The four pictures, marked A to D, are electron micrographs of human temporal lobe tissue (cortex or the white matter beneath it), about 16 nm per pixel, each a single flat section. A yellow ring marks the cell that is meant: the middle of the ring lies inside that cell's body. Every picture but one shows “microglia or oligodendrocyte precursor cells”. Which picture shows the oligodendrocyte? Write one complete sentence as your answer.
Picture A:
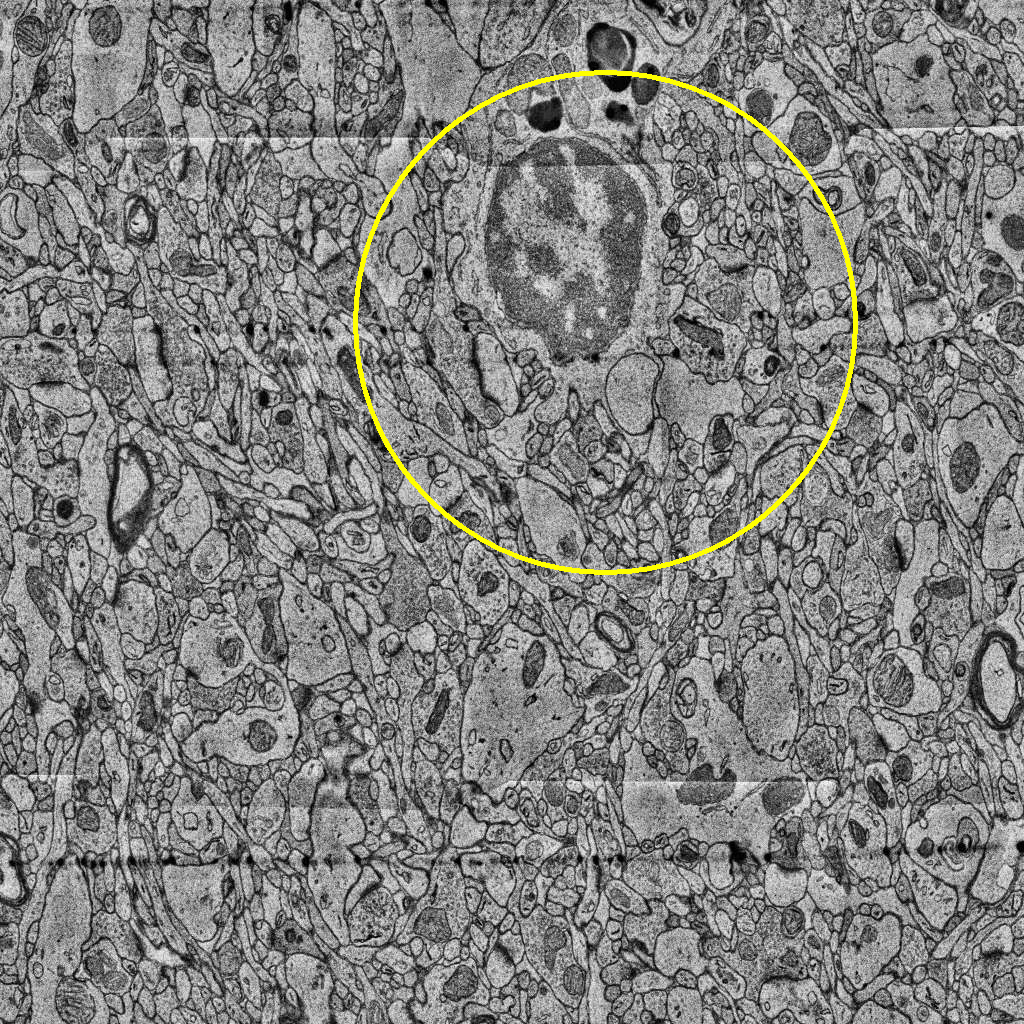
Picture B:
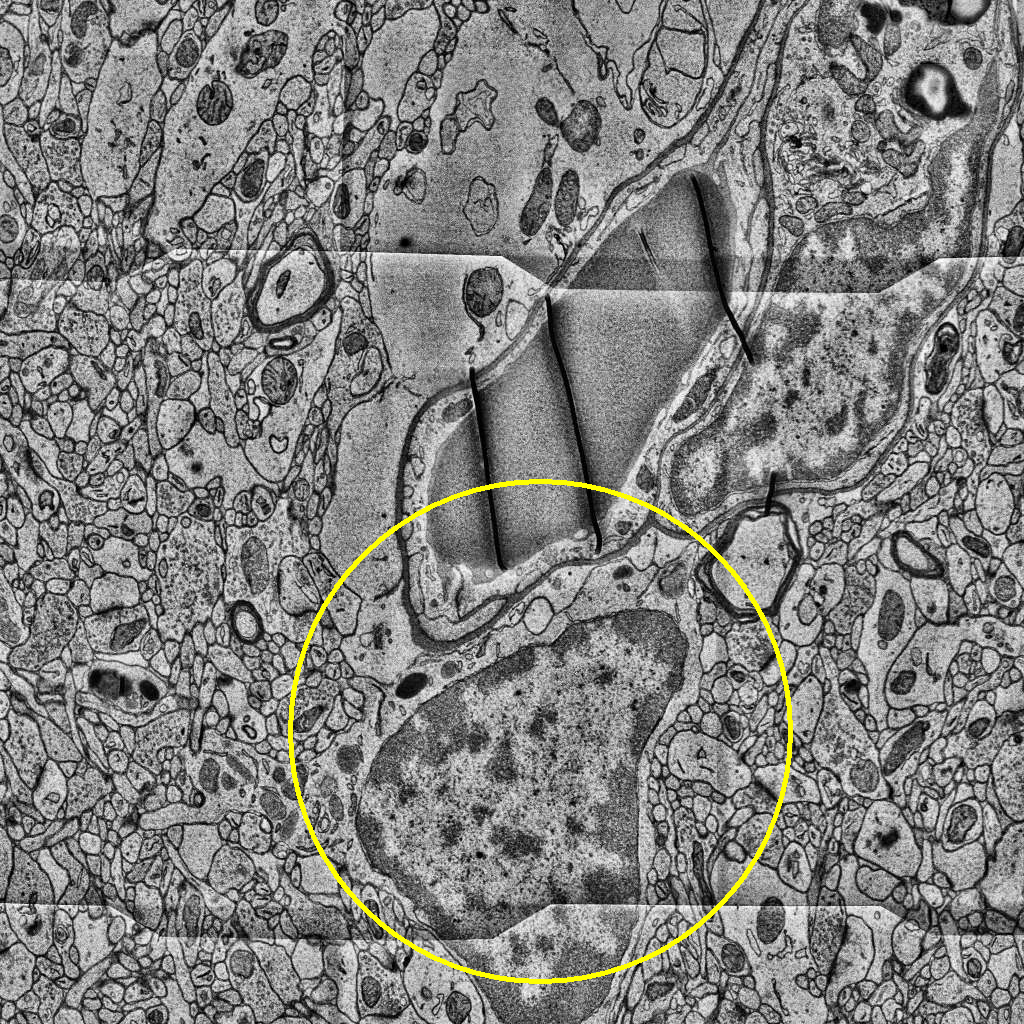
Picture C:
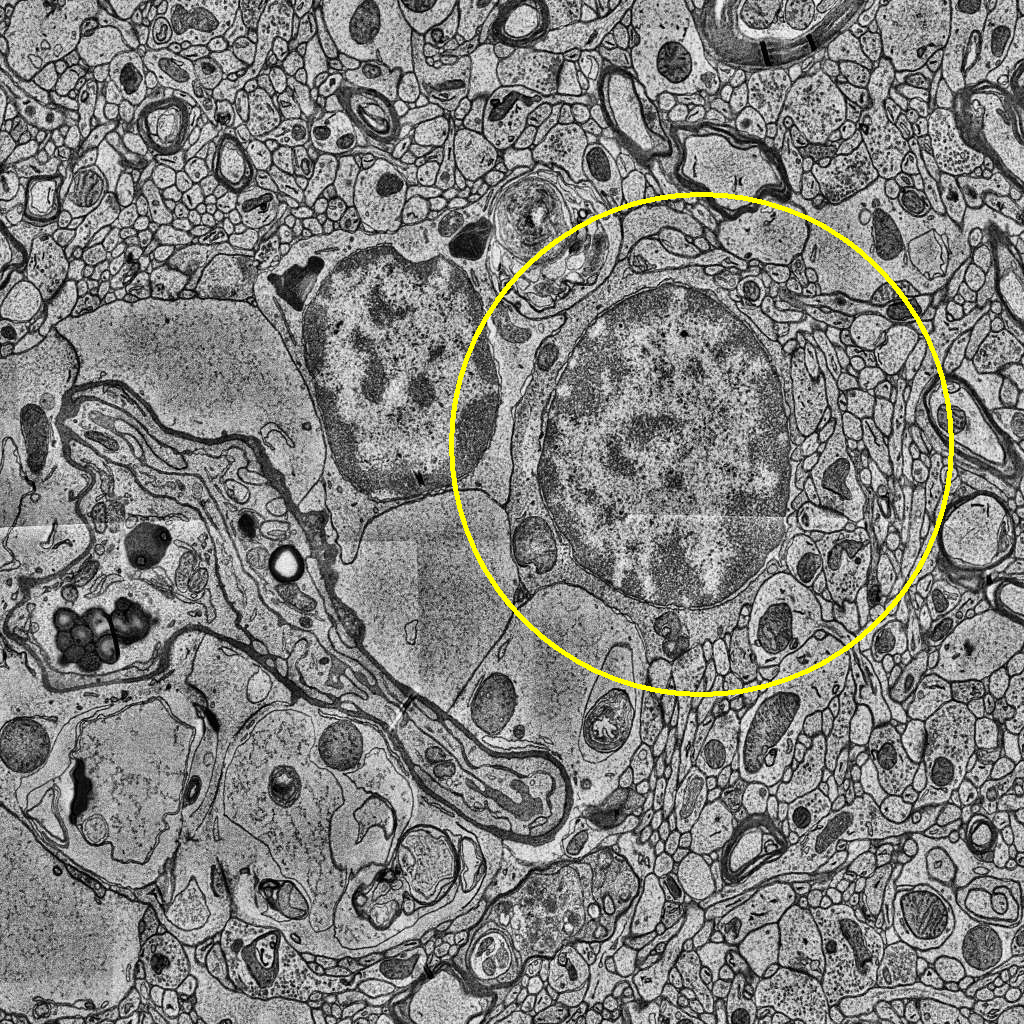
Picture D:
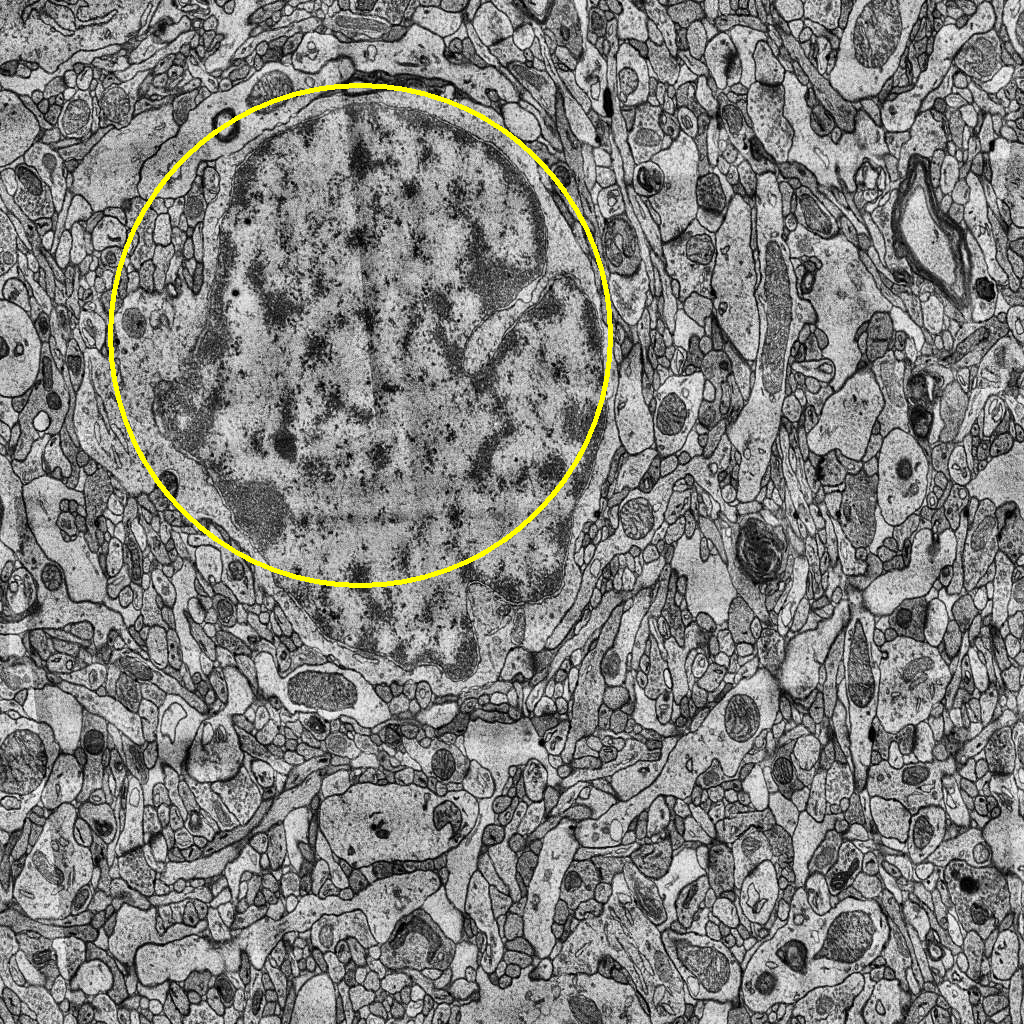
Picture C shows the oligodendrocyte.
